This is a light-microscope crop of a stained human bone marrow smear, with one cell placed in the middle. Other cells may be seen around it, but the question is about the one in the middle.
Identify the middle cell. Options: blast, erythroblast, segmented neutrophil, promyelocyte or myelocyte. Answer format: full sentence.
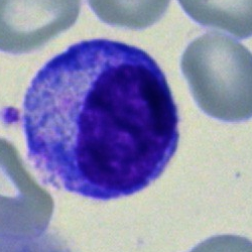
The centrally located cell in the crop is a promyelocyte.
